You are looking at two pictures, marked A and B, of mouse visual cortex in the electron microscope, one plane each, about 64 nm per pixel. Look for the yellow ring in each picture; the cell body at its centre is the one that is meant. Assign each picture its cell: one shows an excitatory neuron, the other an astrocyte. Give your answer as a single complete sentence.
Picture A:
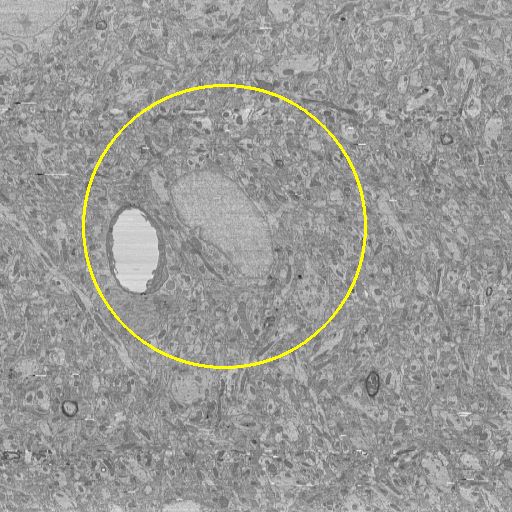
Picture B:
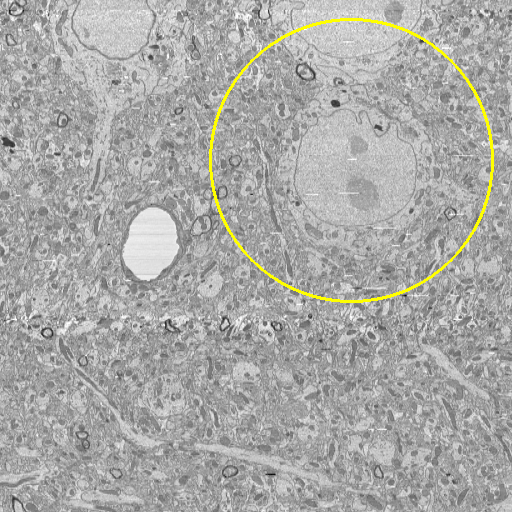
In picture A the cell is an astrocyte; in picture B, an excitatory neuron.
